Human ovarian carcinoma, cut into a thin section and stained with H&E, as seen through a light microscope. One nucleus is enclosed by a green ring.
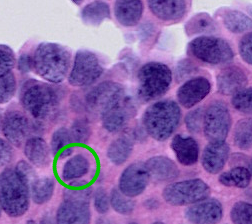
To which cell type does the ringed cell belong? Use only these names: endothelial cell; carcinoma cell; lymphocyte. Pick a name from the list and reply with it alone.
carcinoma cell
